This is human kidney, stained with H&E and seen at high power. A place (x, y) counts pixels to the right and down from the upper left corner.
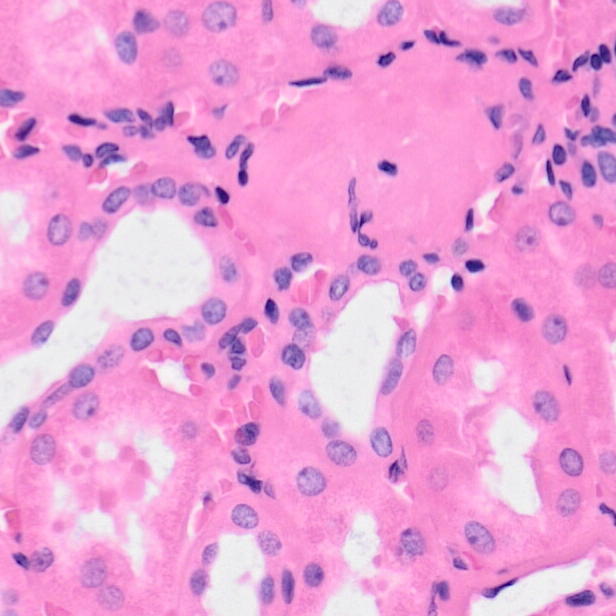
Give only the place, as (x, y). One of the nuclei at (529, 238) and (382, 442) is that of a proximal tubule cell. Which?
(529, 238)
